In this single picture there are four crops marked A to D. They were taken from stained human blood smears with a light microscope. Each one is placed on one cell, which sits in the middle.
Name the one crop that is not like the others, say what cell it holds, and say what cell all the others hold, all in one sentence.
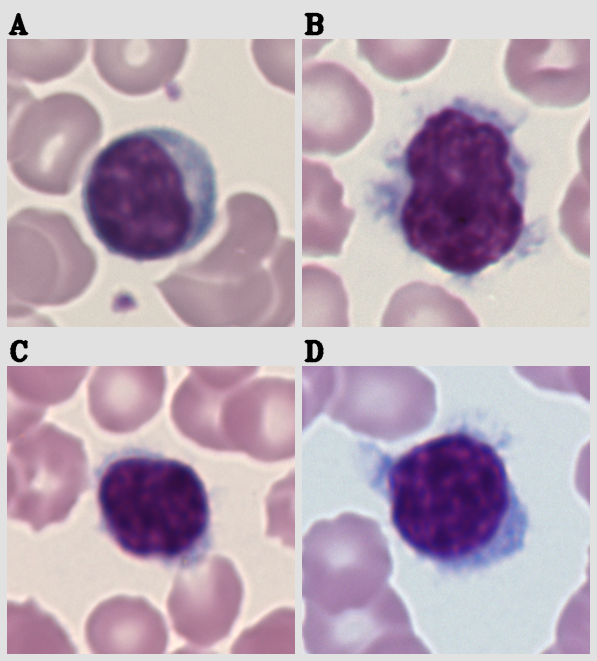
Crop A is the sole crop with a typical lymphocyte; the others all have hairy cells.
